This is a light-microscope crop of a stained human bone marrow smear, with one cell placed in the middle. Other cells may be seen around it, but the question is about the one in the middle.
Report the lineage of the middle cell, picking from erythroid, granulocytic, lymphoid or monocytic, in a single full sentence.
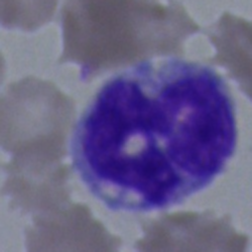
The cell at the center of the crop has monocytic lineage.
